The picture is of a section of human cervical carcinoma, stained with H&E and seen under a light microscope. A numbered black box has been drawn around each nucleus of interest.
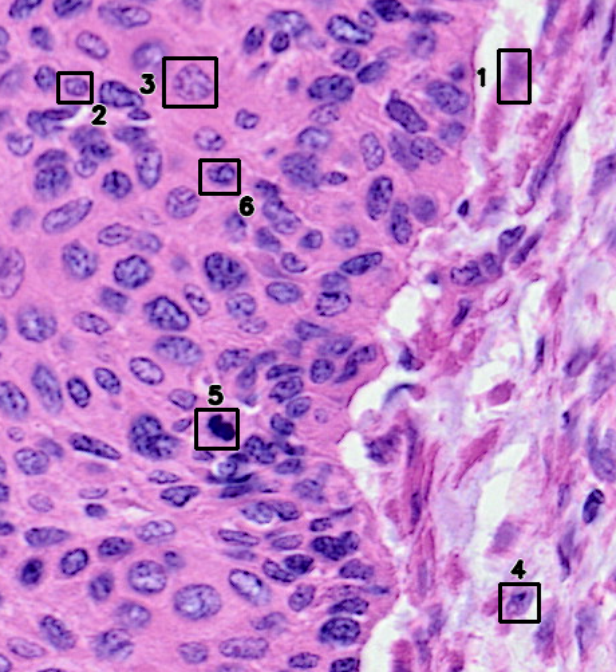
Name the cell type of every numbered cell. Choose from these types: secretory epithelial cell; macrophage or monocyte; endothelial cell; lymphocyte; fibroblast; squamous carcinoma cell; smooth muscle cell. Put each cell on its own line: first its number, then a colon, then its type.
1: fibroblast
2: squamous carcinoma cell
3: squamous carcinoma cell
4: fibroblast
5: squamous carcinoma cell
6: squamous carcinoma cell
